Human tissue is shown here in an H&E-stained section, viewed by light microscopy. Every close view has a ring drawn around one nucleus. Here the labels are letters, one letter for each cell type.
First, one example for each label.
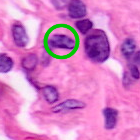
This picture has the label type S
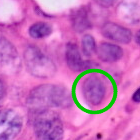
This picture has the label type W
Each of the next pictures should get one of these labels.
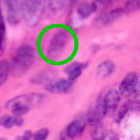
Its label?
type W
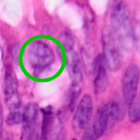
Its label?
type W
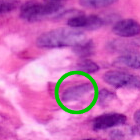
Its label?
type W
